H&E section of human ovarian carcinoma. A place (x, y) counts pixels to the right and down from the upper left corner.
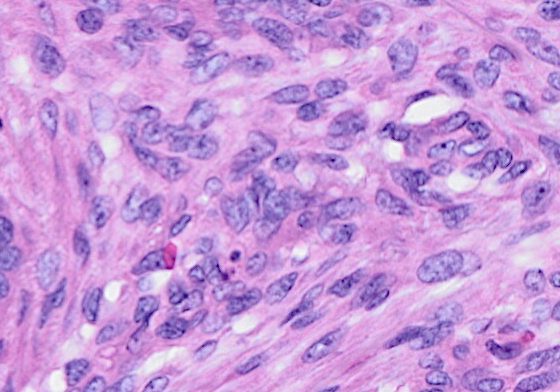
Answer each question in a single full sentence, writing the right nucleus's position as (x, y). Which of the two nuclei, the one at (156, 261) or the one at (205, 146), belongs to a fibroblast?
It is the nucleus at (205, 146) that forms part of a fibroblast.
